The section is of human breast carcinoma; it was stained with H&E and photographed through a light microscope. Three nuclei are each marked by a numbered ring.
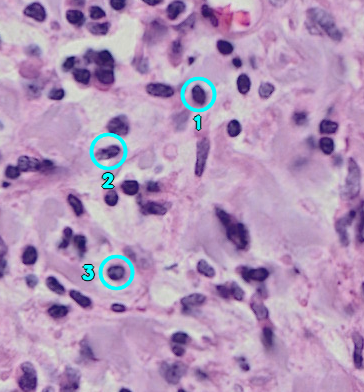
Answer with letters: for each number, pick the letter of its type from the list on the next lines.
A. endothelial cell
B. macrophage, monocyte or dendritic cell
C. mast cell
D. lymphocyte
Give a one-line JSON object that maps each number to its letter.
{"1": "D", "2": "D", "3": "C"}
